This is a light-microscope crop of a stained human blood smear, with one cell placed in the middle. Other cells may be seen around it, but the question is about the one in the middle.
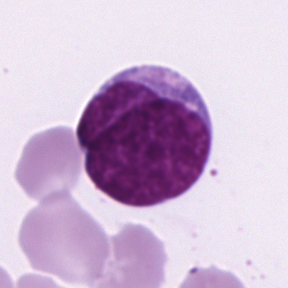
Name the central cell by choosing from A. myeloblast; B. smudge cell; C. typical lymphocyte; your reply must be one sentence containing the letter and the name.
The best answer is option A, since the cell in the middle is a myeloblast.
